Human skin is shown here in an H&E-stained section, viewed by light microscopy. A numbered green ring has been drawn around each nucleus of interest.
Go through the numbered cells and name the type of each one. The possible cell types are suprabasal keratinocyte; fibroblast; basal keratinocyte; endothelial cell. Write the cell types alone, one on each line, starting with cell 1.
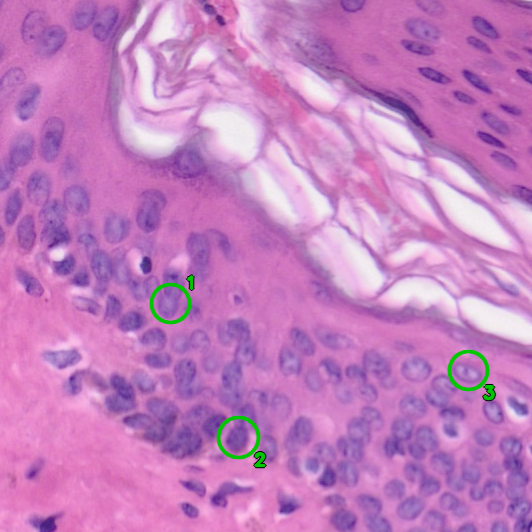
suprabasal keratinocyte
basal keratinocyte
suprabasal keratinocyte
